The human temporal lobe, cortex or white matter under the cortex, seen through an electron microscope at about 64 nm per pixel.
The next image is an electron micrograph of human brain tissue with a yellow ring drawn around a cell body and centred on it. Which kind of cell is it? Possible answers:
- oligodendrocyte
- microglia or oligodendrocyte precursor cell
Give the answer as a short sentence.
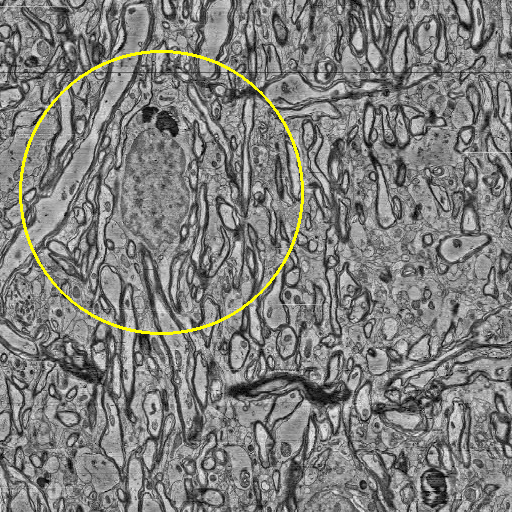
In the ring's centre is an oligodendrocyte.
